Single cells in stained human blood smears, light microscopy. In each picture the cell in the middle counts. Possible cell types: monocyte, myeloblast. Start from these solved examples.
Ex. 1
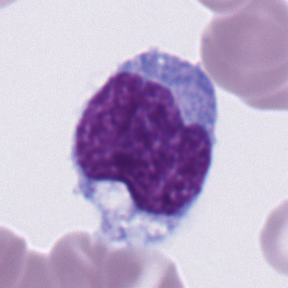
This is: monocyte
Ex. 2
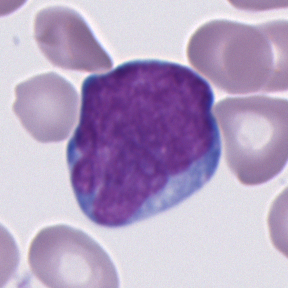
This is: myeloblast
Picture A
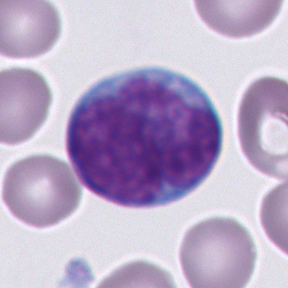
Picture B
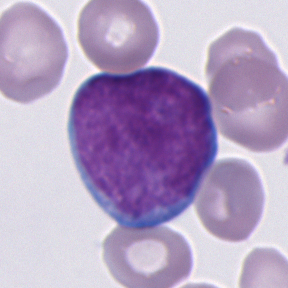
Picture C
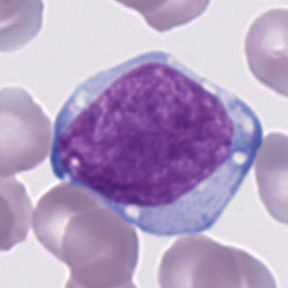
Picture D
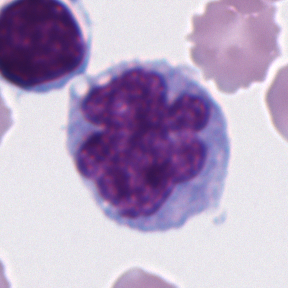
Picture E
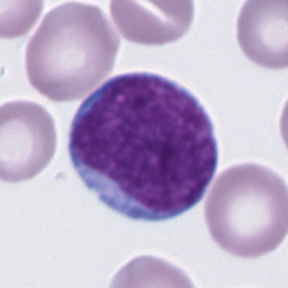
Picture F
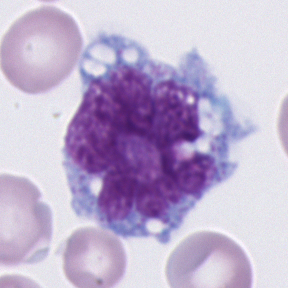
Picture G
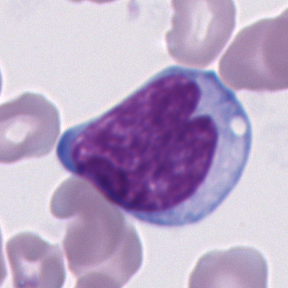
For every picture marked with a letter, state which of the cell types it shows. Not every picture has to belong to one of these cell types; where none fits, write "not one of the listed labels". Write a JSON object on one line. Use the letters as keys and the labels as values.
{"A": "myeloblast", "B": "myeloblast", "C": "myeloblast", "D": "monocyte", "E": "myeloblast", "F": "monocyte", "G": "myeloblast"}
